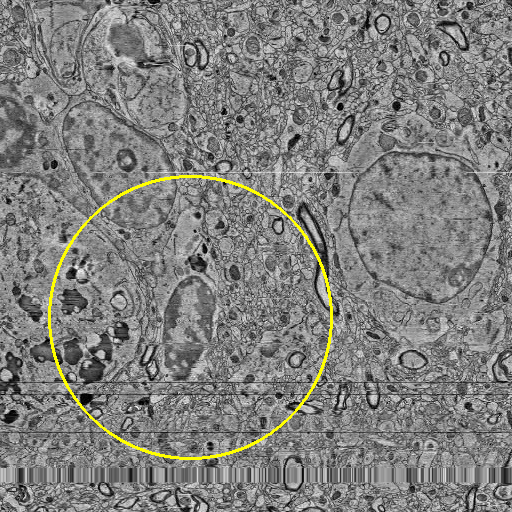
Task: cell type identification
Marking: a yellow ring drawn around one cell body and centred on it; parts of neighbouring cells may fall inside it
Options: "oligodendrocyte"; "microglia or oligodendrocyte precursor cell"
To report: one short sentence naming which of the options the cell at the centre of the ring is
The cell at the centre of the ring is a microglial cell or oligodendrocyte precursor cell.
